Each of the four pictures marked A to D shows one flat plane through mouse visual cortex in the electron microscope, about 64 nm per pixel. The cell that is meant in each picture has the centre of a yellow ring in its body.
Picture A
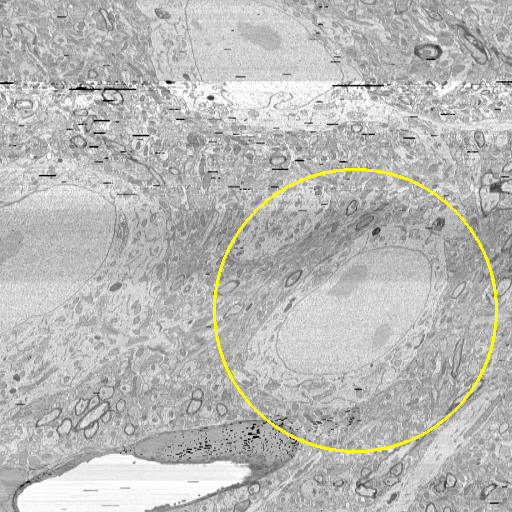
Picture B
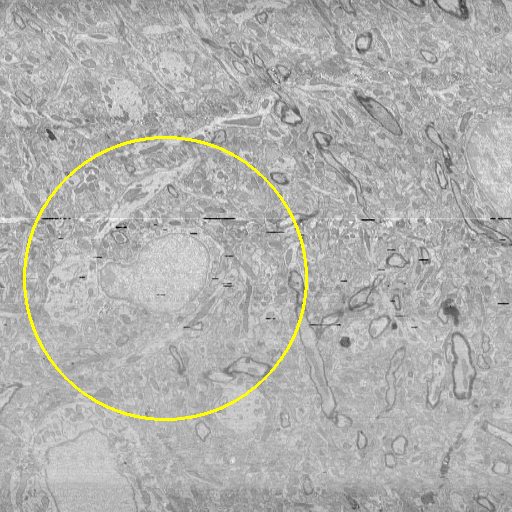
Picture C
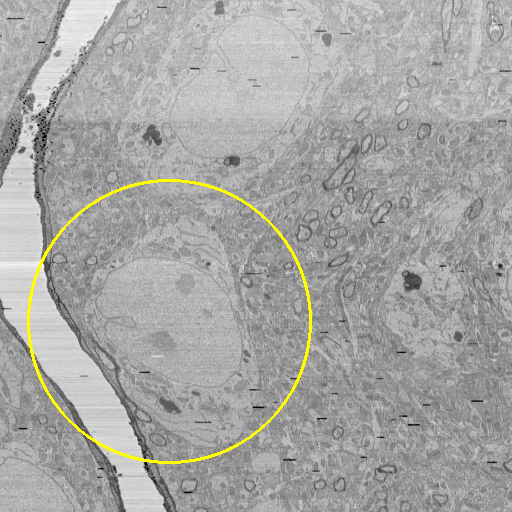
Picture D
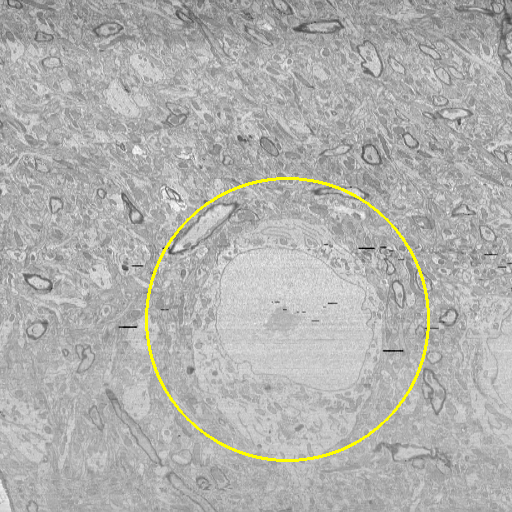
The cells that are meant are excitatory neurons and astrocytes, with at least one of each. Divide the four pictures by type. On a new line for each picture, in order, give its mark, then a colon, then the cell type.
A: excitatory neuron
B: astrocyte
C: excitatory neuron
D: excitatory neuron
